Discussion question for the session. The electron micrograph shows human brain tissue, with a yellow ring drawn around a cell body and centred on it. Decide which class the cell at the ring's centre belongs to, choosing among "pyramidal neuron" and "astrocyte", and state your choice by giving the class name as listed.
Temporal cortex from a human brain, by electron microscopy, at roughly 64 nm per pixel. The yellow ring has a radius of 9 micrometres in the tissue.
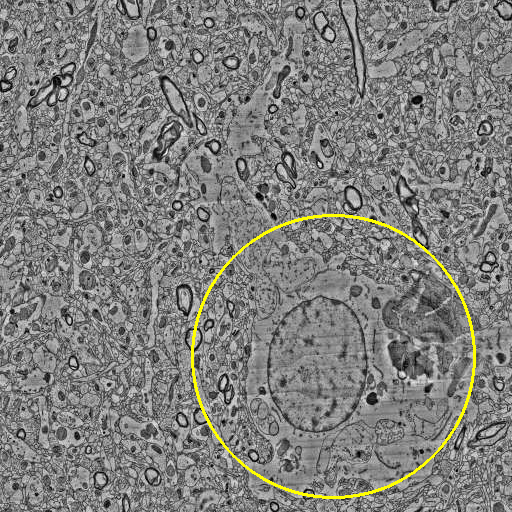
astrocyte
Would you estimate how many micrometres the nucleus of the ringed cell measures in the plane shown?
The nucleus of the ringed cell is approximately 9 by 6 micrometres in this plane.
